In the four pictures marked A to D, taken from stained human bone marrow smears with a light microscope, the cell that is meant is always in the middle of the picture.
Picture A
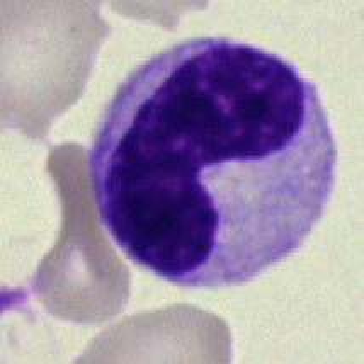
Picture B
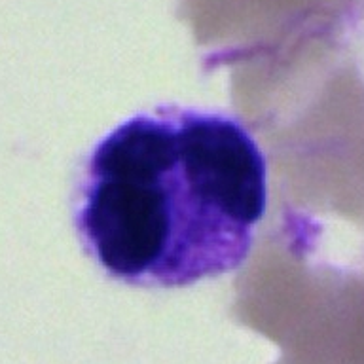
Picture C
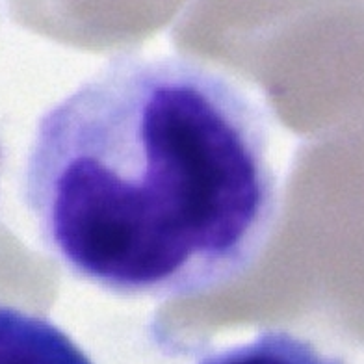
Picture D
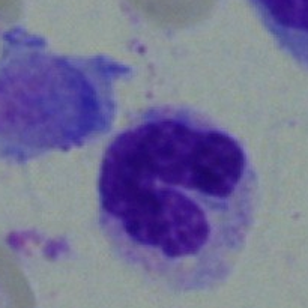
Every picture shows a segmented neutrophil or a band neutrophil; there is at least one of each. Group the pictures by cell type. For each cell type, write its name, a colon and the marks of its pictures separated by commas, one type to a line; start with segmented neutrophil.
segmented neutrophil: B
band neutrophil: A, C, D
